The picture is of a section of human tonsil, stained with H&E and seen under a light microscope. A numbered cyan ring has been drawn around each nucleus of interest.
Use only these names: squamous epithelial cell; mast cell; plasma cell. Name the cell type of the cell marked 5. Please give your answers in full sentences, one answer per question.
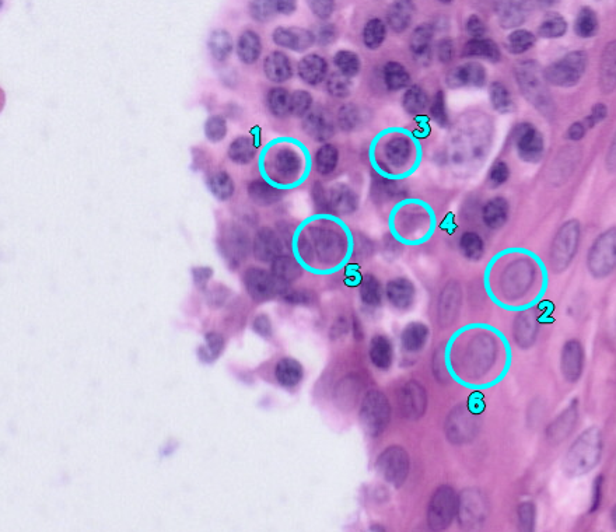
The cell carrying label 5 is identified as a squamous epithelial cell.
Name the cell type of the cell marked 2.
The marked nucleus 2 is that of a squamous epithelial cell.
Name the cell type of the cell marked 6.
In this section, the cell tagged 6 is a squamous epithelial cell.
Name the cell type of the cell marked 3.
The marked cell bearing number 3 is a plasma cell.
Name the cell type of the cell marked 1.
The cell pointed out by number 1 is a plasma cell.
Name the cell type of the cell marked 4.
Cell 4 in the field is a squamous epithelial cell.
